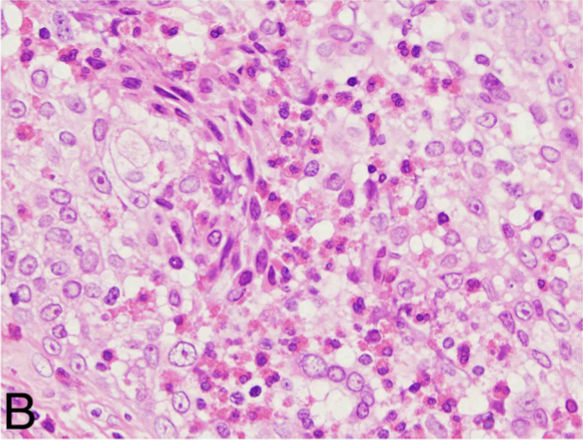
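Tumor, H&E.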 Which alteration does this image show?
eosinophilic infiltration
